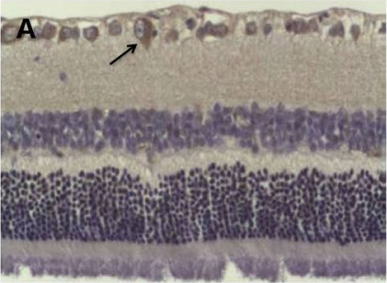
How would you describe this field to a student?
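This is a section through the layered retina, with the ganglion cell layer at the top as a single row of large rounded cells, several of which have brown-stained cytoplasm around a pale round nucleus. Beneath them lies a broad, pale, finely fibrous band with few nuclei. Below that is a band of loosely packed purple nuclei of moderate size. A thin pale band then separates it from a thick, densely packed layer of small, dark blue-purple round nuclei.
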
